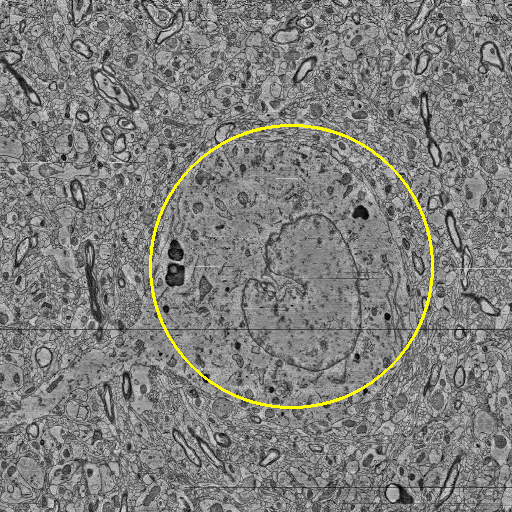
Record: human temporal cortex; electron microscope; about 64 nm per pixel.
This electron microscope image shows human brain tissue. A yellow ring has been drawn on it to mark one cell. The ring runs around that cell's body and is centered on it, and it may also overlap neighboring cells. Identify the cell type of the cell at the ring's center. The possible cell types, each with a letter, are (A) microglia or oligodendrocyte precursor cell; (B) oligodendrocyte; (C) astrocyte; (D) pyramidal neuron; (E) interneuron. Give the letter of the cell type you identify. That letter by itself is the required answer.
D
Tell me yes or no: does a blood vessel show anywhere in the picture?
No, no vessel appears in the picture.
